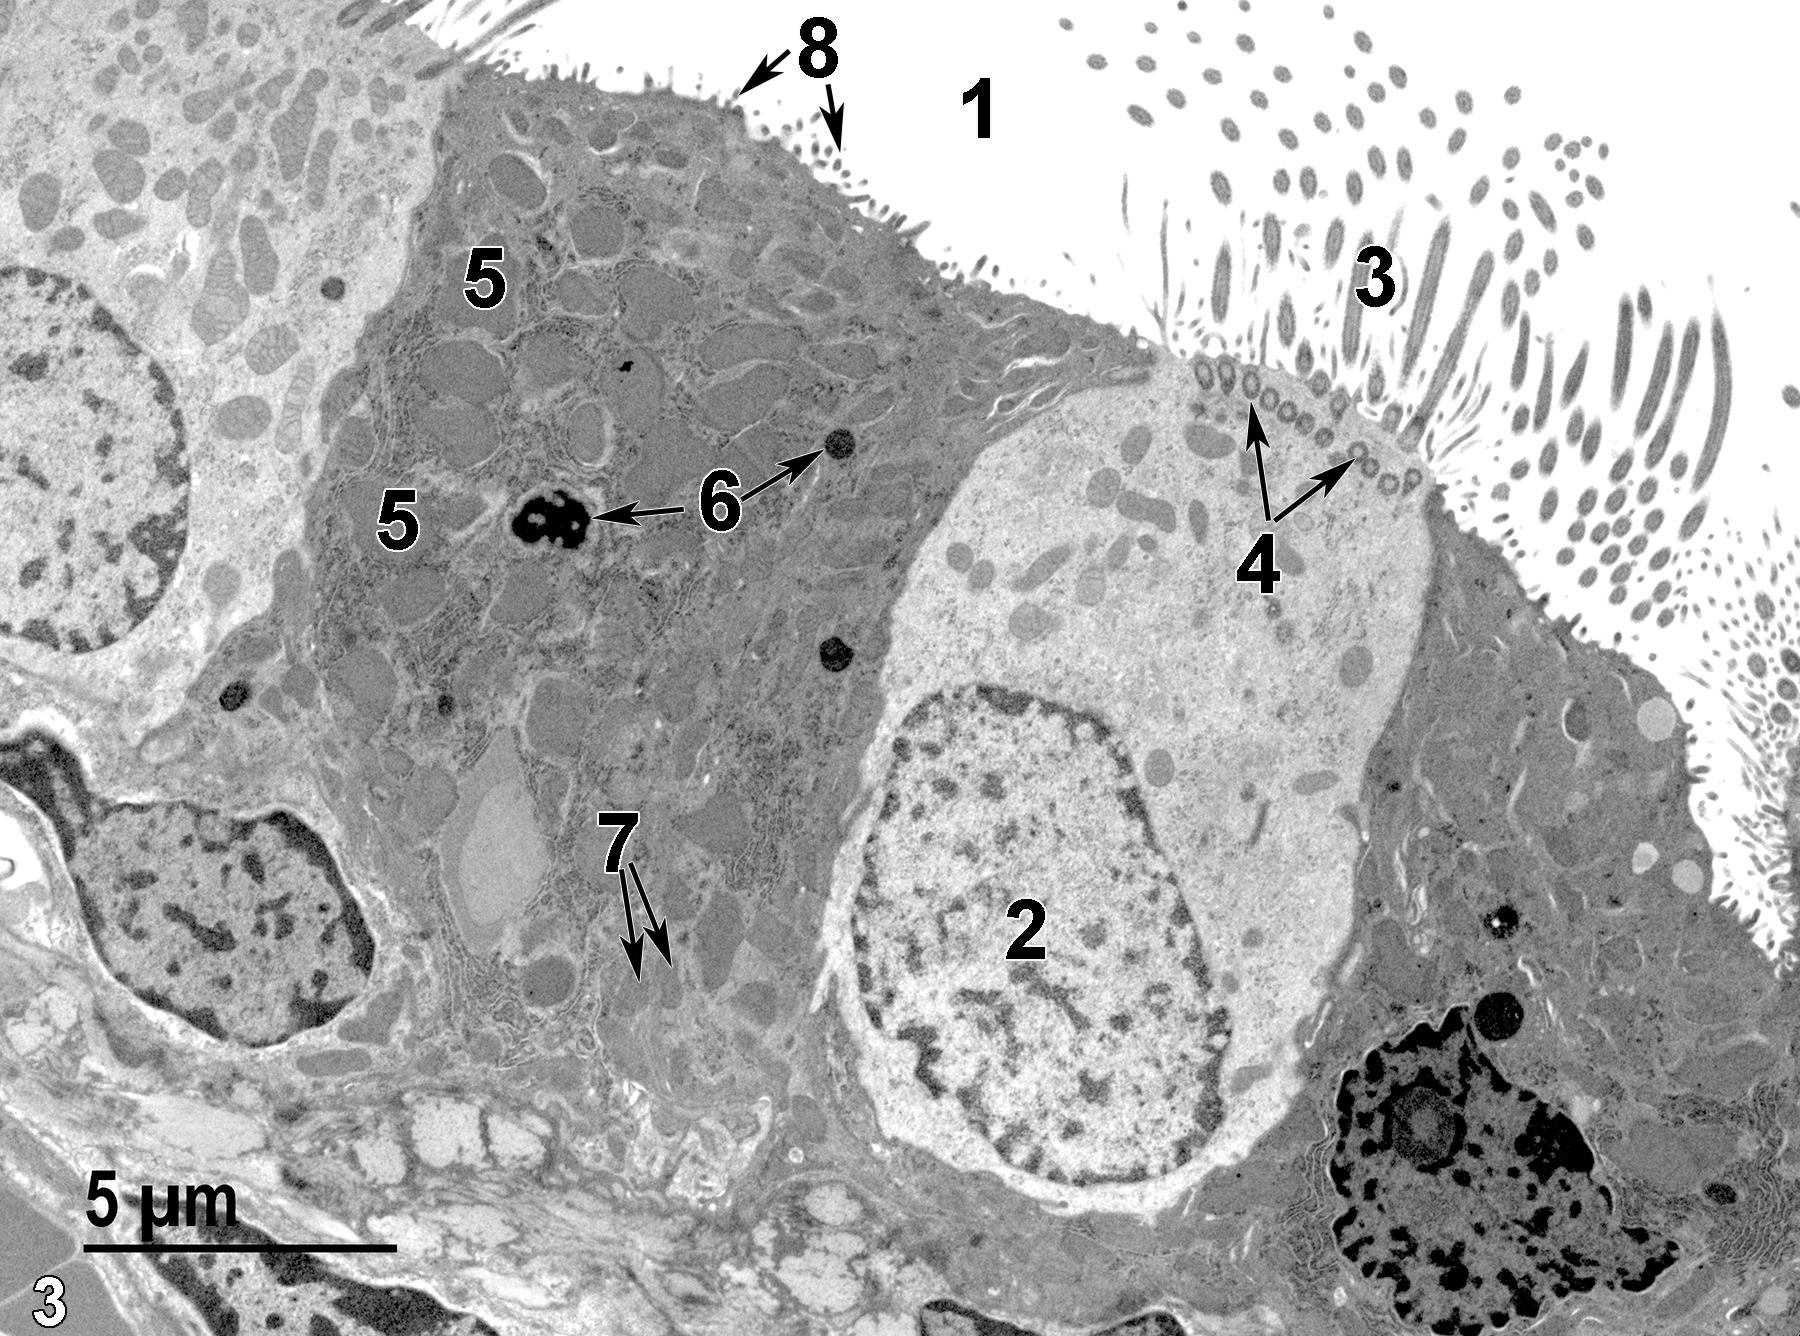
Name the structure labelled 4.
At 4: apical basal bodies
